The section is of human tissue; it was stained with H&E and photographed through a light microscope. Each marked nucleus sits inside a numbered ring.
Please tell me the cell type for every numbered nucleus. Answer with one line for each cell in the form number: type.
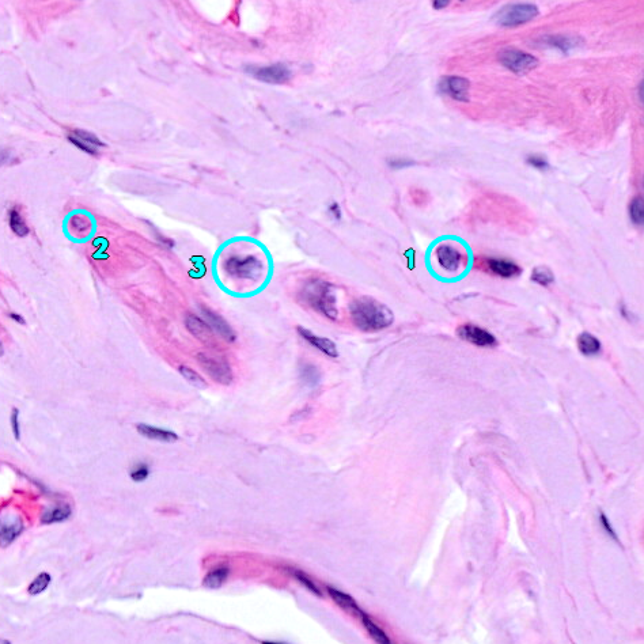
1: lymphocyte
2: smooth muscle cell
3: macrophage or monocyte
